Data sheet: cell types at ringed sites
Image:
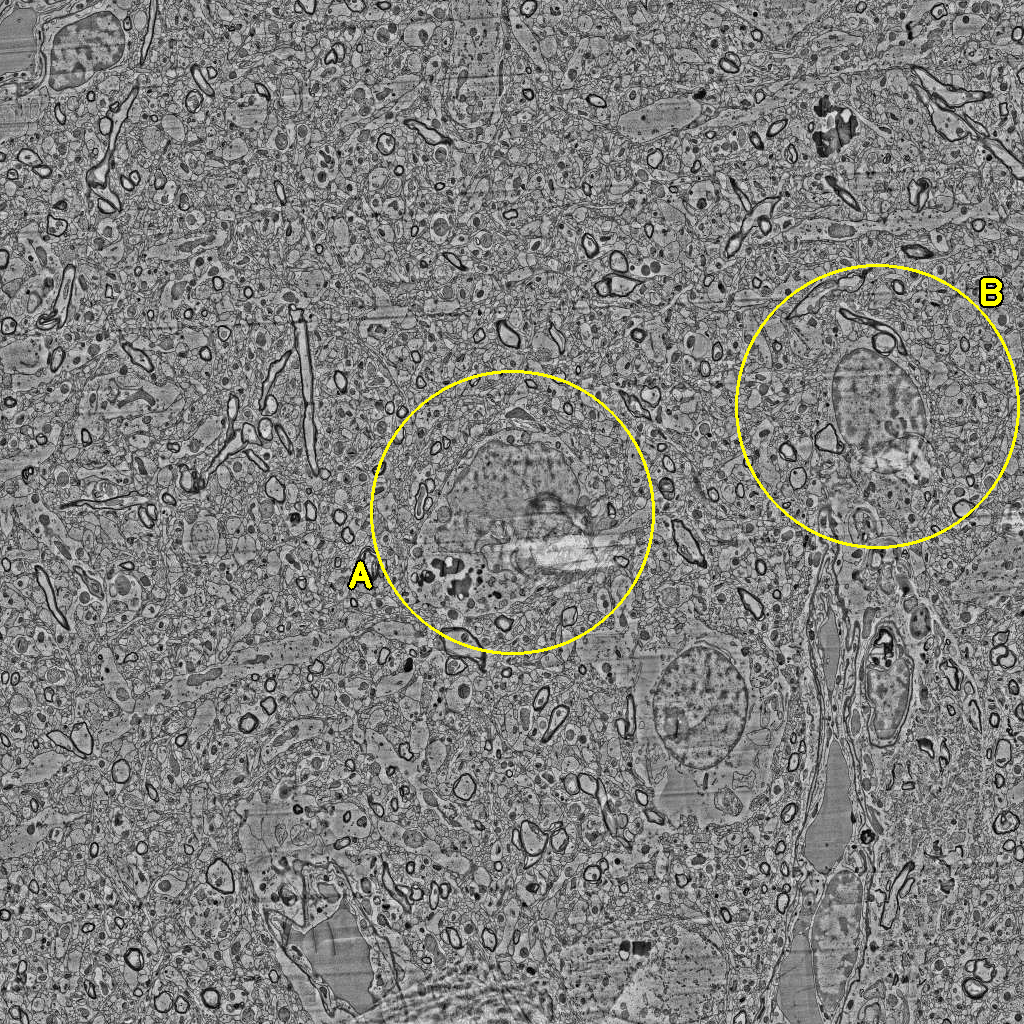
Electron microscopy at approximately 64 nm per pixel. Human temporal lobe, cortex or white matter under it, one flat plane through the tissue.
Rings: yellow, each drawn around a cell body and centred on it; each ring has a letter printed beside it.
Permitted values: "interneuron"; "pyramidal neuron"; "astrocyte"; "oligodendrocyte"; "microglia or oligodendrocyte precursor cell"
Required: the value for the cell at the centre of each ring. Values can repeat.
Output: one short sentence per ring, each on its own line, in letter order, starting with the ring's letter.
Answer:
Ring A has an interneuron at its centre.
Ring B has an oligodendrocyte at its centre.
